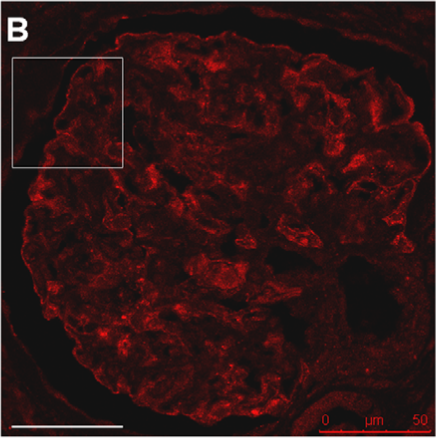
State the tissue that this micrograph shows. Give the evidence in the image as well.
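Glomeruli. A round tuft of looped capillaries fills most of the panel. A dark crescent-shaped space separates the tuft from a thin surrounding capsule.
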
